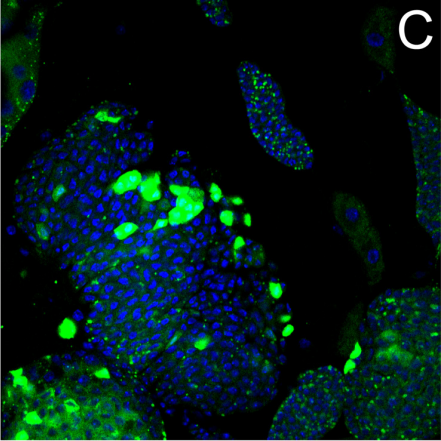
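Several lobes of a lymph gland made of densely packed small cells with round blue nuclei. Only a few cells are bright green, scattered singly or in small clusters mostly near the edge of the largest lobe, while most cells carry only faint green.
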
